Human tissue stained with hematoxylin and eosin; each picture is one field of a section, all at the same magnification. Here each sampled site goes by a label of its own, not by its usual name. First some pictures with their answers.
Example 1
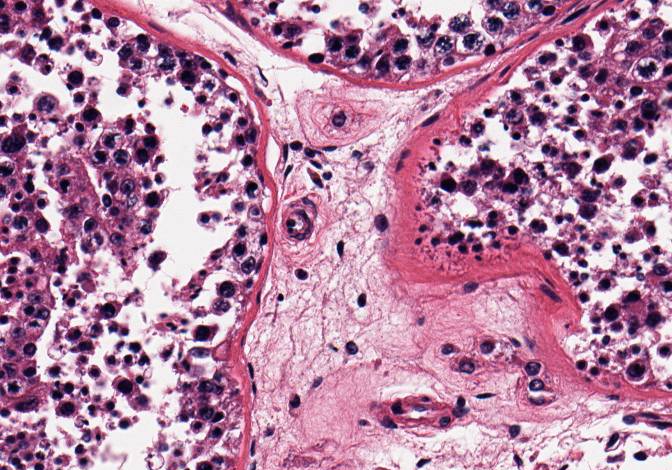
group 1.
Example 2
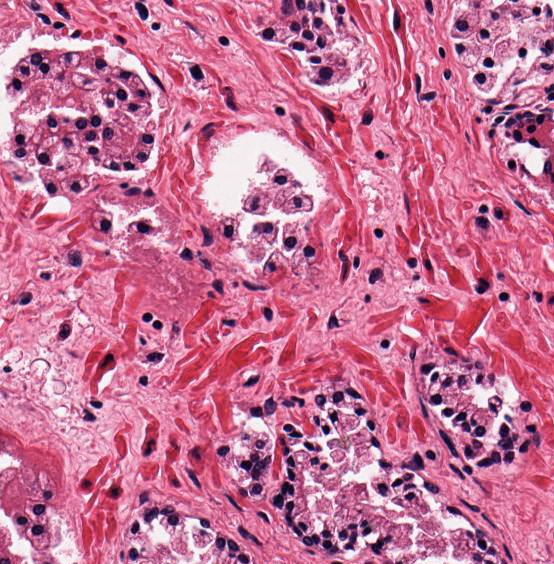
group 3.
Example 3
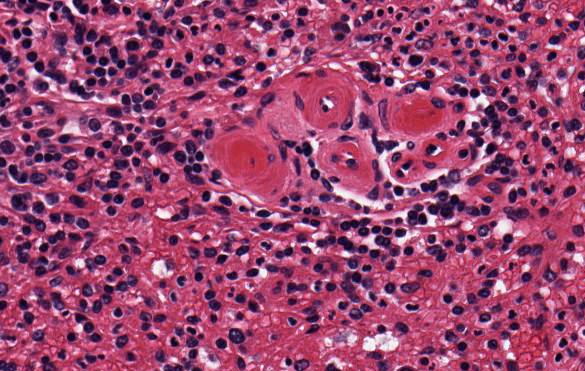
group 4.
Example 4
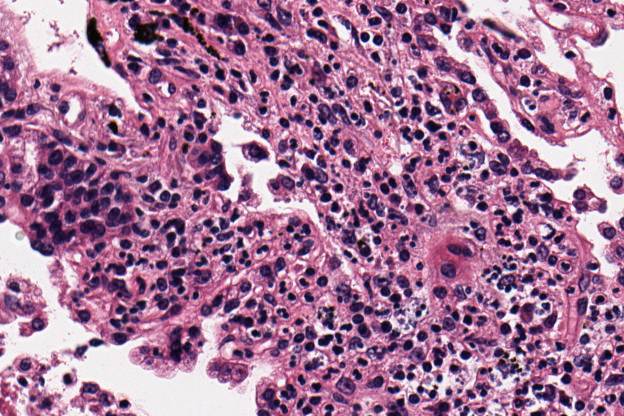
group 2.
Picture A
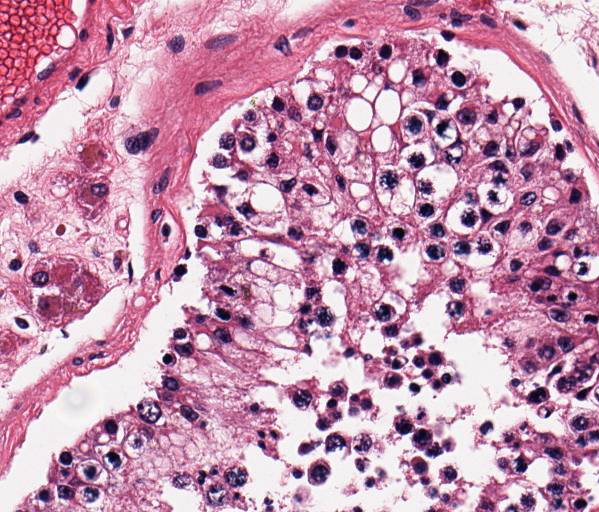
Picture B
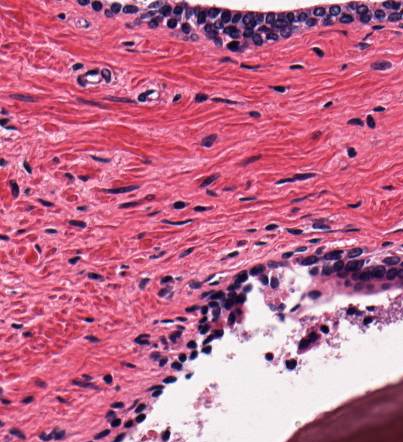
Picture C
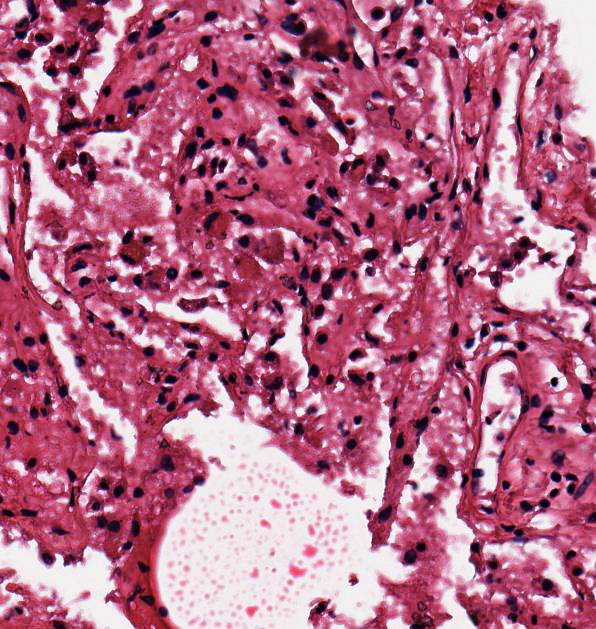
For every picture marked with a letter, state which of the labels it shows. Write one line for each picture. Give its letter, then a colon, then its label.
A: group 1.
B: group 3.
C: group 2.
